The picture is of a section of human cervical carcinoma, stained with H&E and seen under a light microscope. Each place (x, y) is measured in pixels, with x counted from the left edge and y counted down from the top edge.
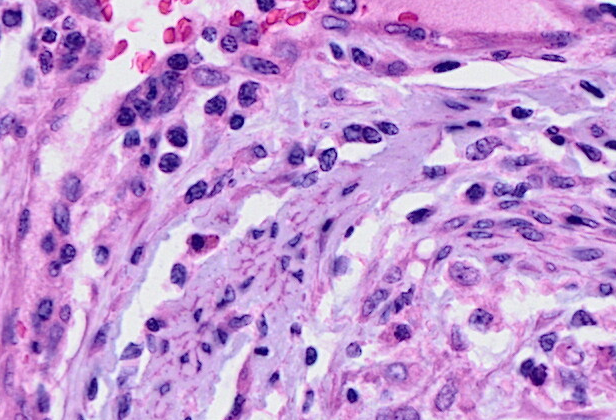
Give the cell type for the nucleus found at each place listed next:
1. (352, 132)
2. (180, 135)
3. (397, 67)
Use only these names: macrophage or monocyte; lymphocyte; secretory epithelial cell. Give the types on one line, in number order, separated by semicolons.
lymphocyte; lymphocyte; macrophage or monocyte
